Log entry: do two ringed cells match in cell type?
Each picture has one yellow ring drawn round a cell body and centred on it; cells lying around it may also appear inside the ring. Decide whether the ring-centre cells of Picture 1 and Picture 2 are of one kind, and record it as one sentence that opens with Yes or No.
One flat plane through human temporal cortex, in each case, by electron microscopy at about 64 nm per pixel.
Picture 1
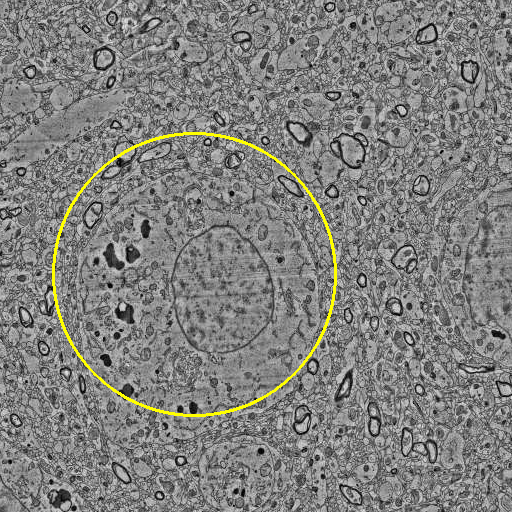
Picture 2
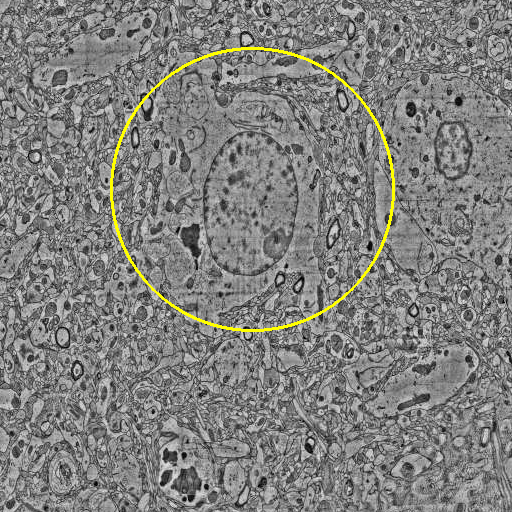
No, the cells at the ring centres of the two pictures belong to two kinds.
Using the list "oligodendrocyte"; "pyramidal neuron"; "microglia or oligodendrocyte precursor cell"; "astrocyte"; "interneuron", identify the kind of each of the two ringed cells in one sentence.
The first is a pyramidal neuron and the second is an astrocyte.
